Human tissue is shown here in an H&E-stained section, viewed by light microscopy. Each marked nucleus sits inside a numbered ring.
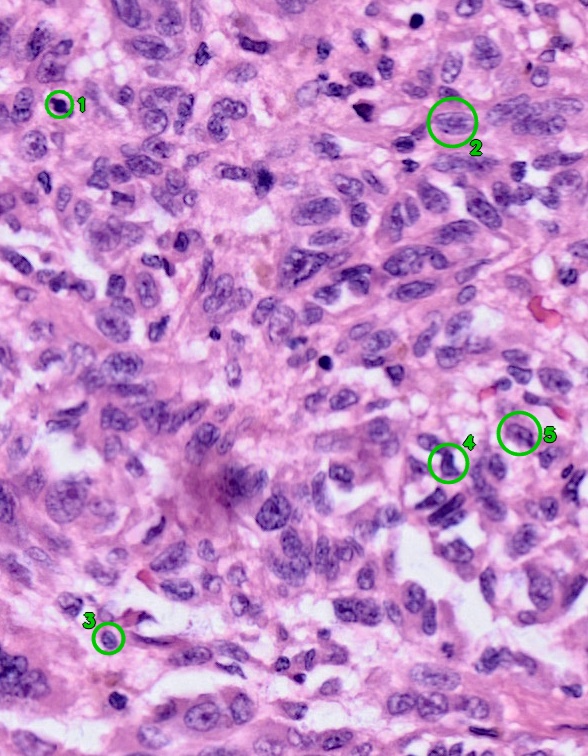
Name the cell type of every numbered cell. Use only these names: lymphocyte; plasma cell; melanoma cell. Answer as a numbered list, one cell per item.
1. lymphocyte
2. melanoma cell
3. lymphocyte
4. melanoma cell
5. melanoma cell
